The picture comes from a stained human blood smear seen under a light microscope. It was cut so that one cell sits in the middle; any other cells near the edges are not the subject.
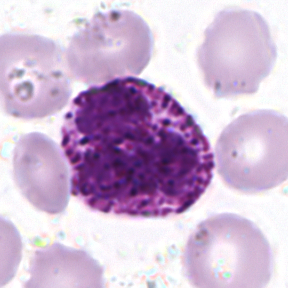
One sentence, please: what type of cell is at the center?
In short, the cell at the center is a basophil.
